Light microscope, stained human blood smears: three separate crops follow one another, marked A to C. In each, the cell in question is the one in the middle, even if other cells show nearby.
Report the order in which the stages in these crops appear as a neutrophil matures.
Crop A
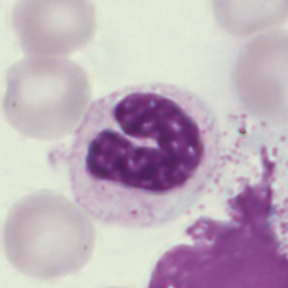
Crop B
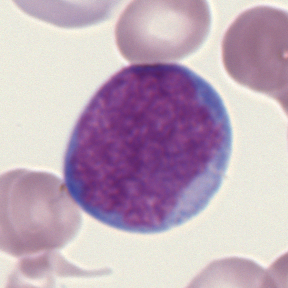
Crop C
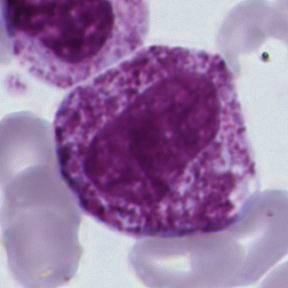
B, C, A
